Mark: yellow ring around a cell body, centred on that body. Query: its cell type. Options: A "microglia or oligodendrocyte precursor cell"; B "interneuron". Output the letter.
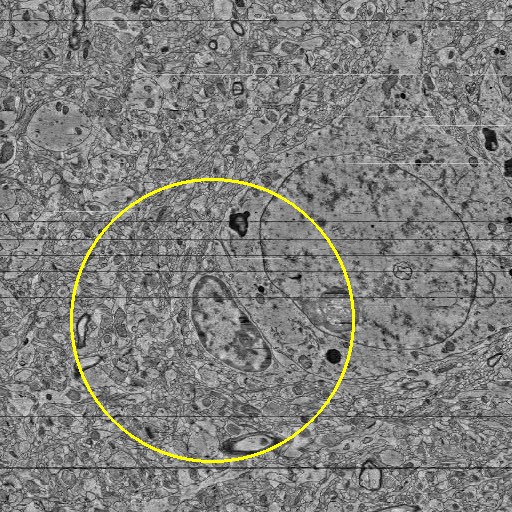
A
